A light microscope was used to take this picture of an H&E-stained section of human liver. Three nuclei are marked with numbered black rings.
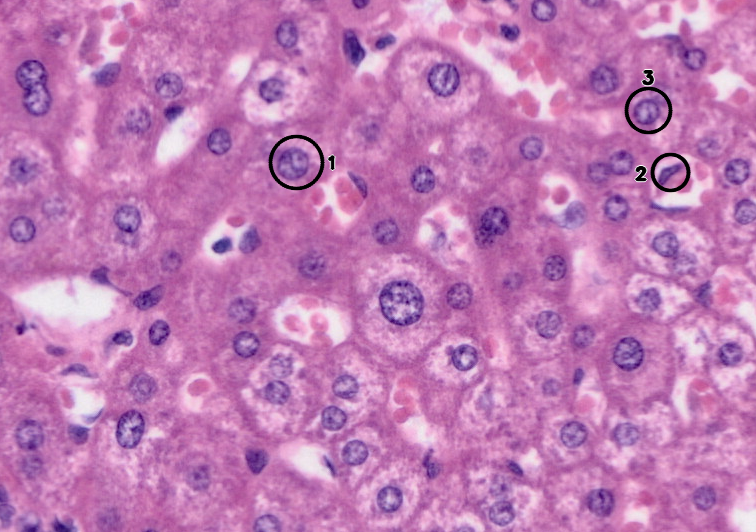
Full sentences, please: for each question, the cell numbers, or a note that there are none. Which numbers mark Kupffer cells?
Cell 2 is a Kupffer cell, and it is the only numbered cell that is.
